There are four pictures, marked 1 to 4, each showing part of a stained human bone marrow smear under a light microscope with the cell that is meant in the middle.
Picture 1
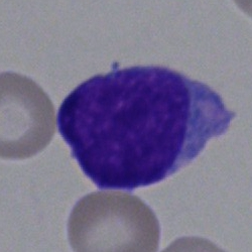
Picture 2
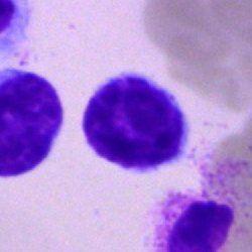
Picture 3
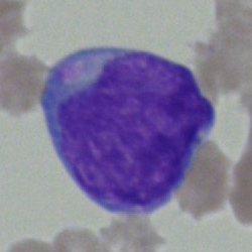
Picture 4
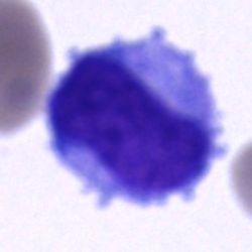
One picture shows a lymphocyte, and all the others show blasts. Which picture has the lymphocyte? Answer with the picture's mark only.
2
